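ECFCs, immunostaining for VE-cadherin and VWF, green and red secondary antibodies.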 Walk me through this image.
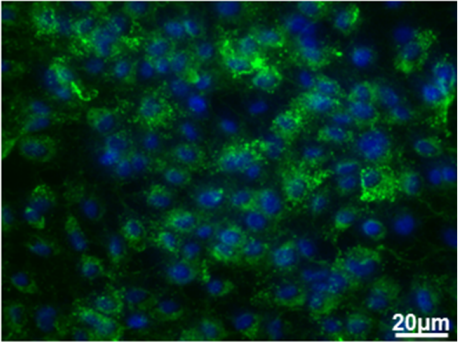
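Cultured cells in a dense monolayer show green staining in the form of many small dots and short rods in the cytoplasm. The green granules gather most densely around the nuclei, while cell borders are not sharply outlined.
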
